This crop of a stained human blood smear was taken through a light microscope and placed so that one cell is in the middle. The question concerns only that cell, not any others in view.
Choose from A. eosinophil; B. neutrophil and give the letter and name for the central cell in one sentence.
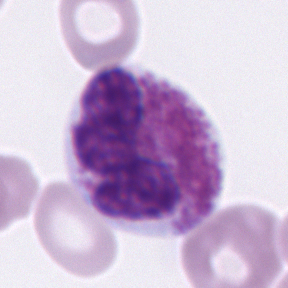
The cell placed in the middle is an eosinophil; option A is correct.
